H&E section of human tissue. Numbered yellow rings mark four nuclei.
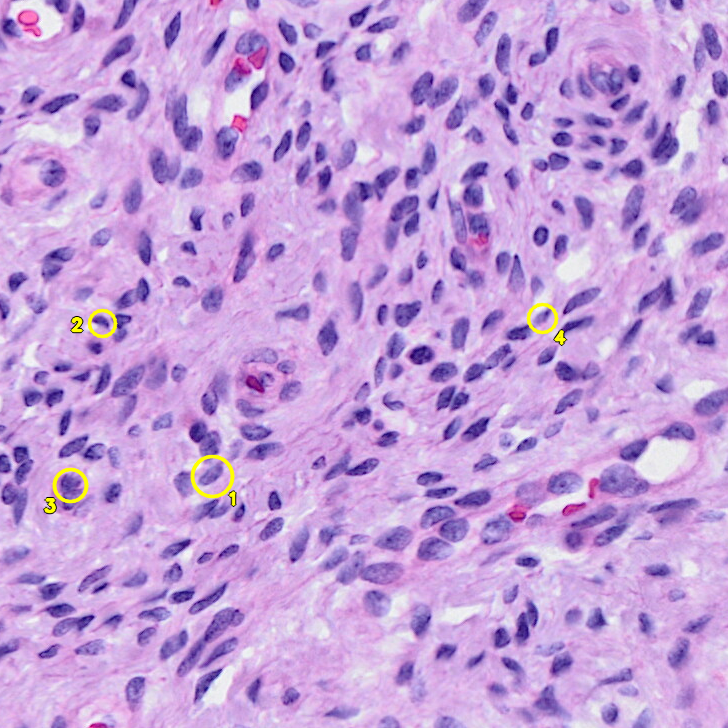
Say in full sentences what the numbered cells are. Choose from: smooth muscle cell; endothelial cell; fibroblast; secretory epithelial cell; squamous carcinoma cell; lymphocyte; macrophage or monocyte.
Cells 1, 2 and 4 are fibroblasts. Cell 3 is an endothelial cell.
